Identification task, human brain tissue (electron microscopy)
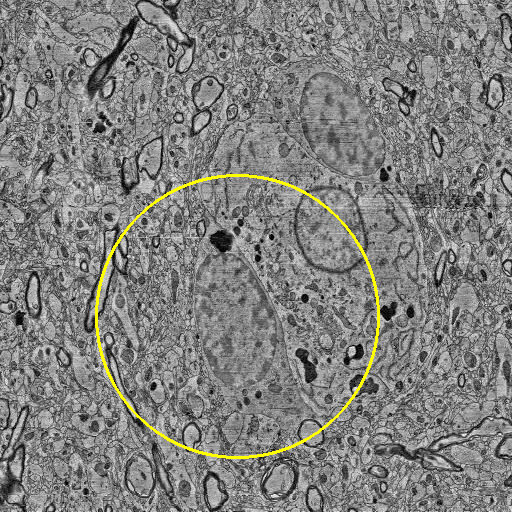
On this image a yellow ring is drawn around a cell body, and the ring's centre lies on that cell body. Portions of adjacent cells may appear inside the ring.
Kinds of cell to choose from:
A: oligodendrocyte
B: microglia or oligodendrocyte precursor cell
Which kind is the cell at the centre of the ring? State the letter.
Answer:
A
